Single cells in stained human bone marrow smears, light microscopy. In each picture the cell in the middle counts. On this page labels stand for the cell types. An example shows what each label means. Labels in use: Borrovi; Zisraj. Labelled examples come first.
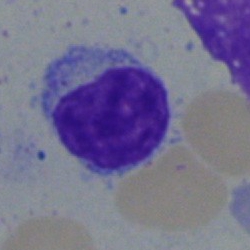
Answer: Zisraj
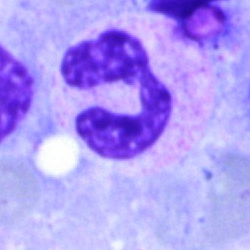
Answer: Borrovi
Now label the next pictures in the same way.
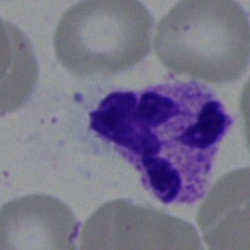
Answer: Borrovi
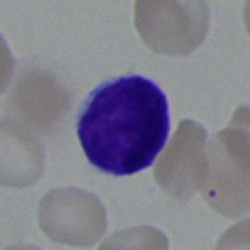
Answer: Zisraj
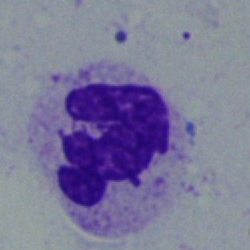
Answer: Borrovi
